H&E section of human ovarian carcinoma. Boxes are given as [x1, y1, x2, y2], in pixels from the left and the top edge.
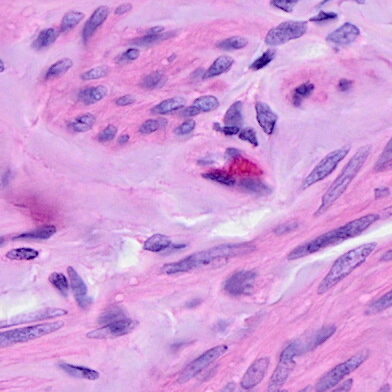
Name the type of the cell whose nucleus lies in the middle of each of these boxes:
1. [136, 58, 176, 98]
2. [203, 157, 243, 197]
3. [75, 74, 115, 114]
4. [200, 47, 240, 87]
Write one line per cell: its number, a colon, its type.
1: smooth muscle cell
2: endothelial cell
3: smooth muscle cell
4: smooth muscle cell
